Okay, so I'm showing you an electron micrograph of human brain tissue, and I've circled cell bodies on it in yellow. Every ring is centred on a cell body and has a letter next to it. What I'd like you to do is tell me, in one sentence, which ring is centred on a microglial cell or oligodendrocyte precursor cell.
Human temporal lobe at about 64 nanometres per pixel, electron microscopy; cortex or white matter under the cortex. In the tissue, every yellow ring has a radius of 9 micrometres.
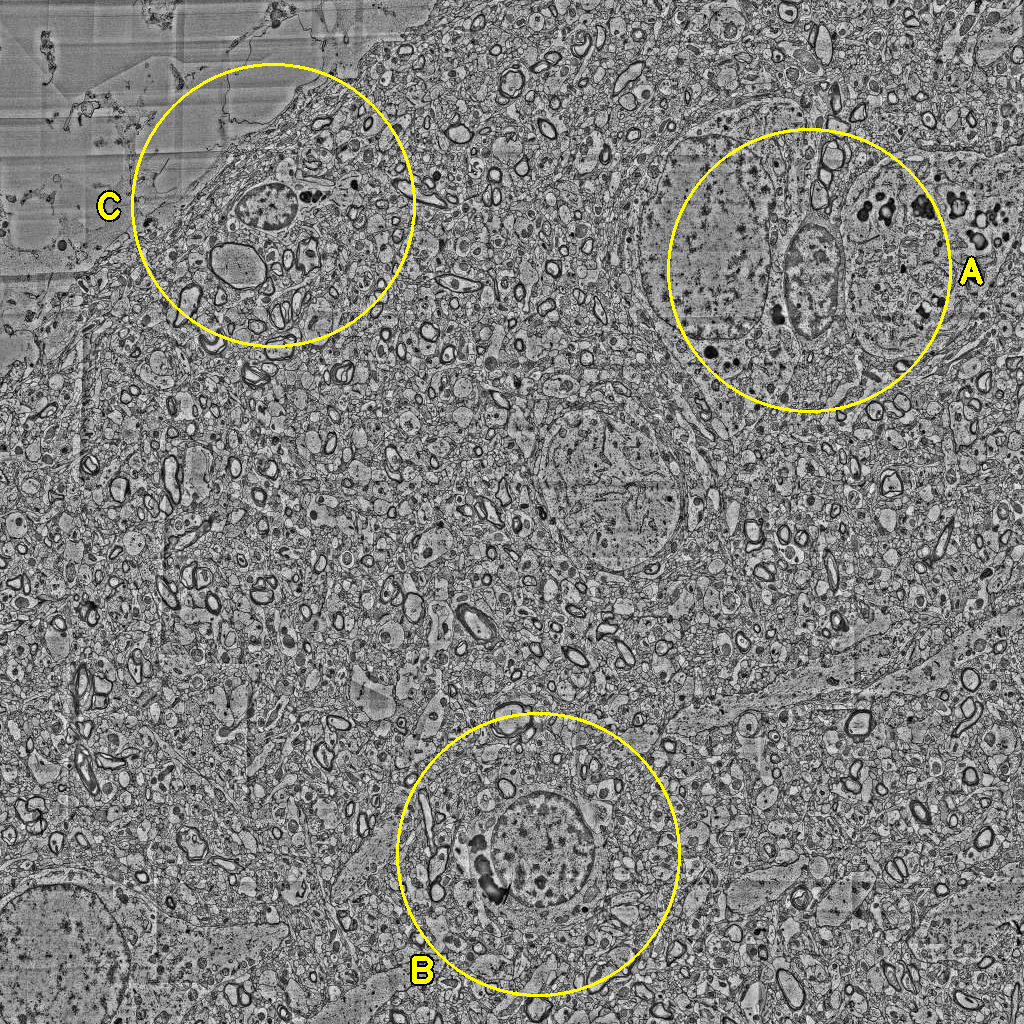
It's ring C.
